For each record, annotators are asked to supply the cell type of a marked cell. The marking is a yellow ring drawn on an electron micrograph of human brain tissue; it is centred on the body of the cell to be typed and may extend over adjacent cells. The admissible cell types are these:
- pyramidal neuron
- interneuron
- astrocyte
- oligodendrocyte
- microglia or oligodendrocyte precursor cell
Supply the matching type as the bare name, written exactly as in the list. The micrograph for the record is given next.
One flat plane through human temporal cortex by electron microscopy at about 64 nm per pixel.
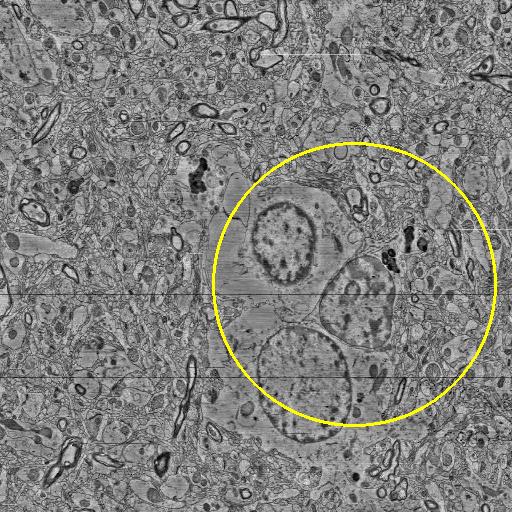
microglia or oligodendrocyte precursor cell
